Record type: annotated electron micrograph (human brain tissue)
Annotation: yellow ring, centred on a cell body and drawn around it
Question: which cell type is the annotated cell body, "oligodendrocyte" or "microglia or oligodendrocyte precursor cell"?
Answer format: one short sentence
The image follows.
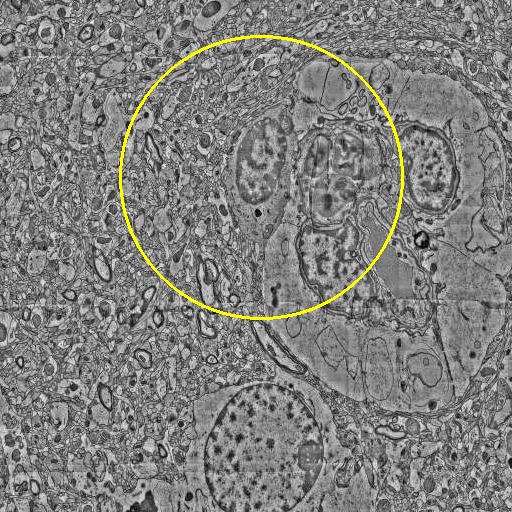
The annotated cell body is that of an oligodendrocyte.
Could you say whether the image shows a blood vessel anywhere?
Yes.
